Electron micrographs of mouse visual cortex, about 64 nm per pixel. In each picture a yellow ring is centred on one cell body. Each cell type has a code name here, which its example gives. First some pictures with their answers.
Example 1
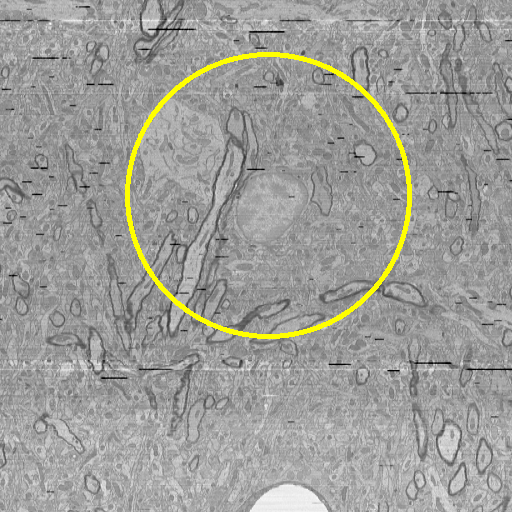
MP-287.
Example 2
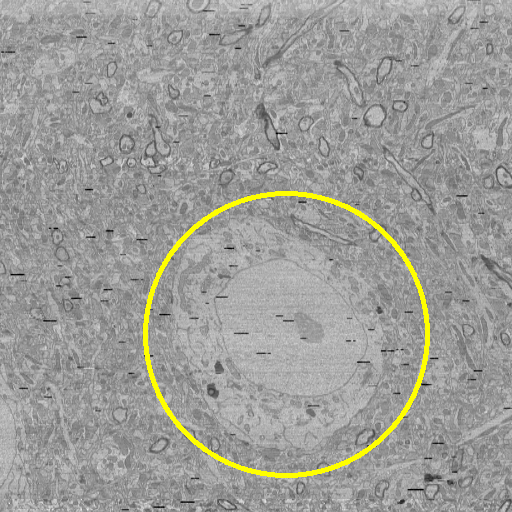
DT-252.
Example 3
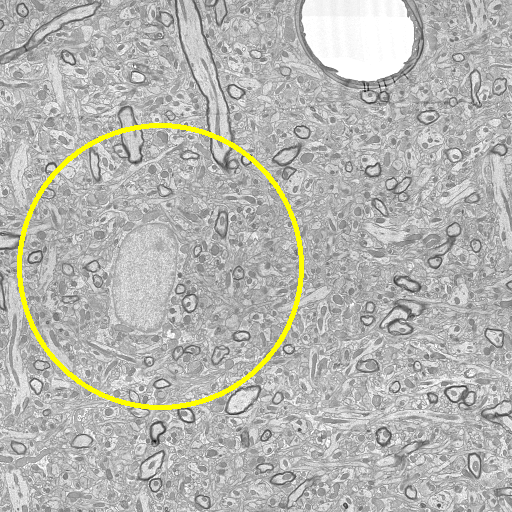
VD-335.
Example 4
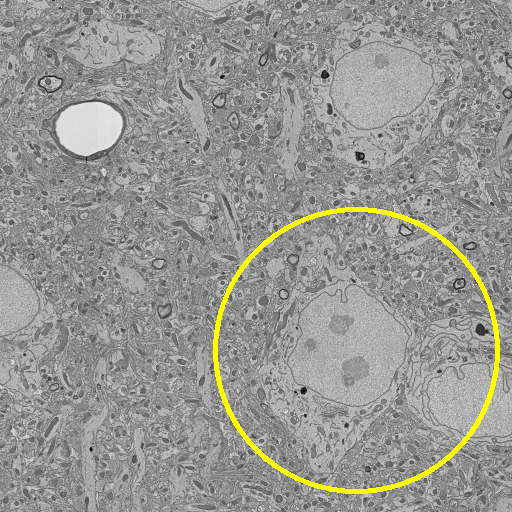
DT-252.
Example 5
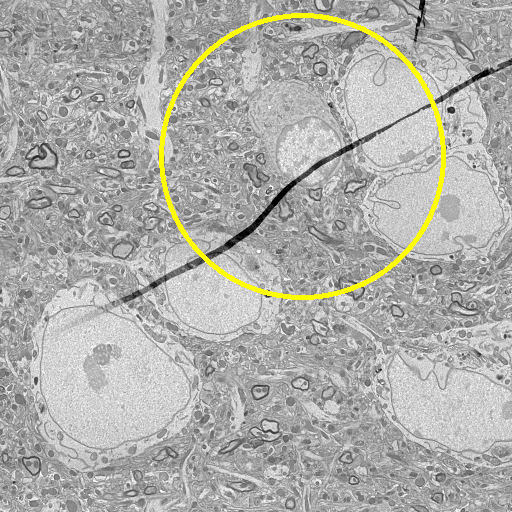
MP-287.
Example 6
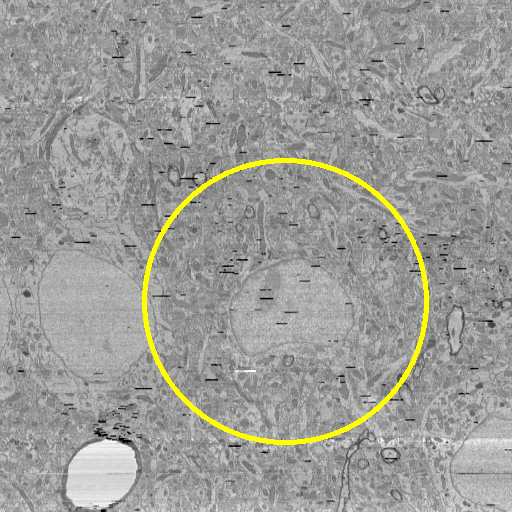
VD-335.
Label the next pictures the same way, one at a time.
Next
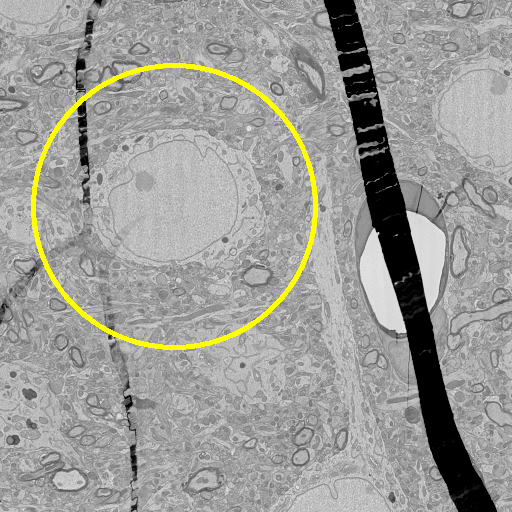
DT-252.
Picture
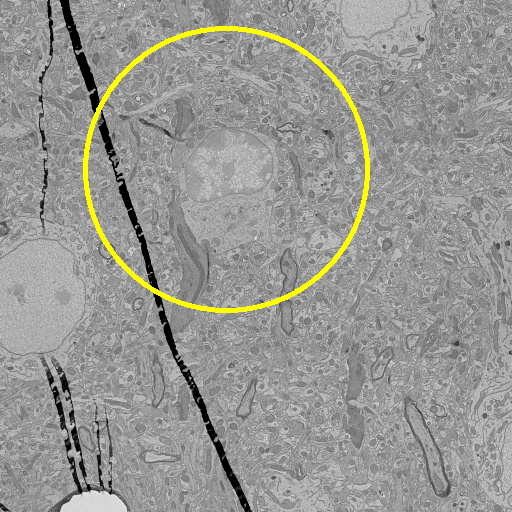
MP-287.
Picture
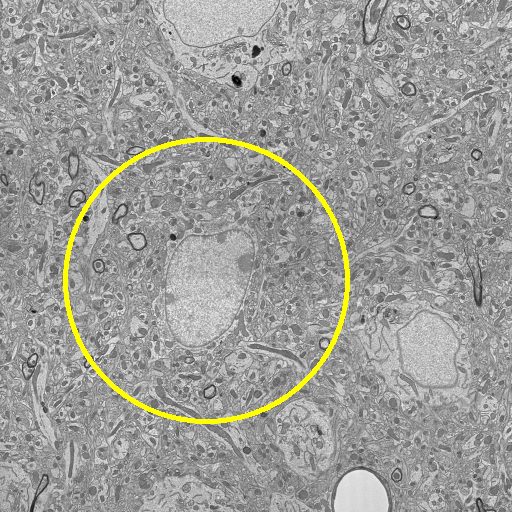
VD-335.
